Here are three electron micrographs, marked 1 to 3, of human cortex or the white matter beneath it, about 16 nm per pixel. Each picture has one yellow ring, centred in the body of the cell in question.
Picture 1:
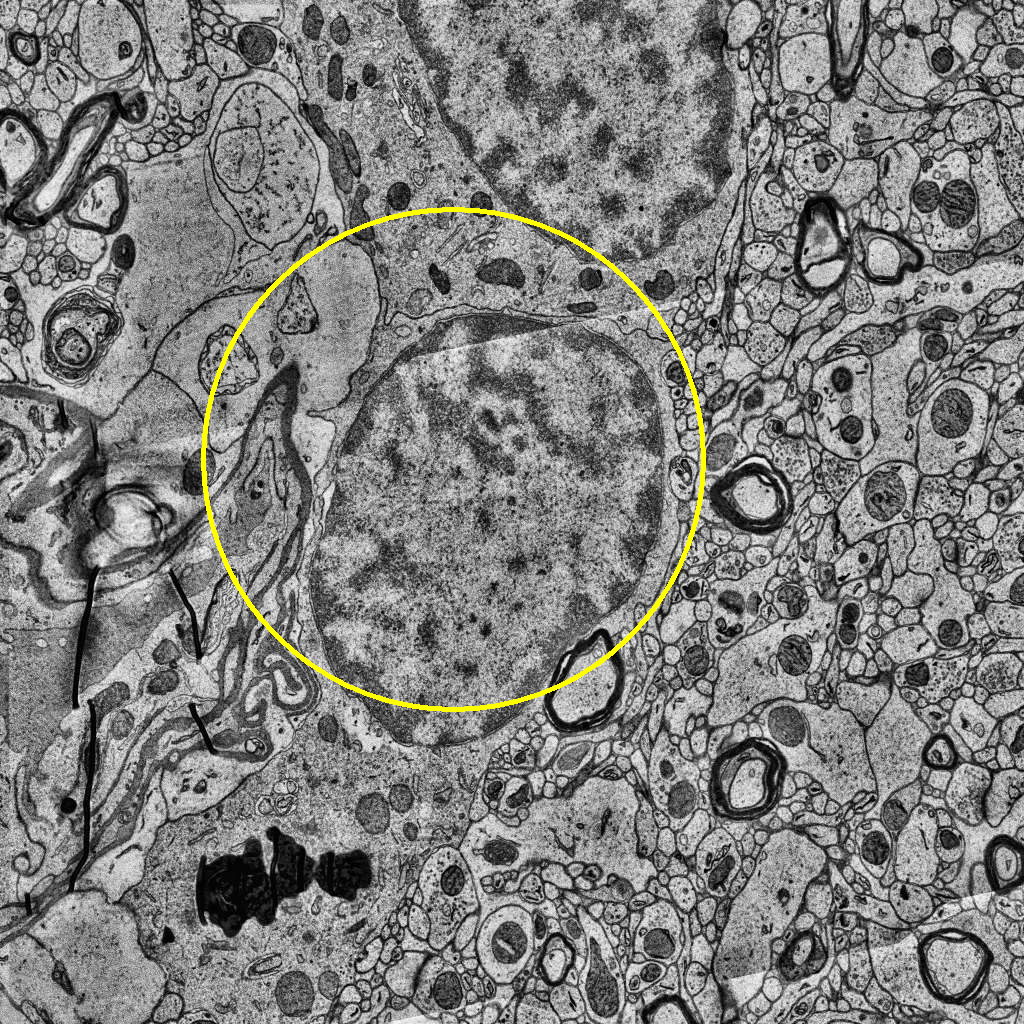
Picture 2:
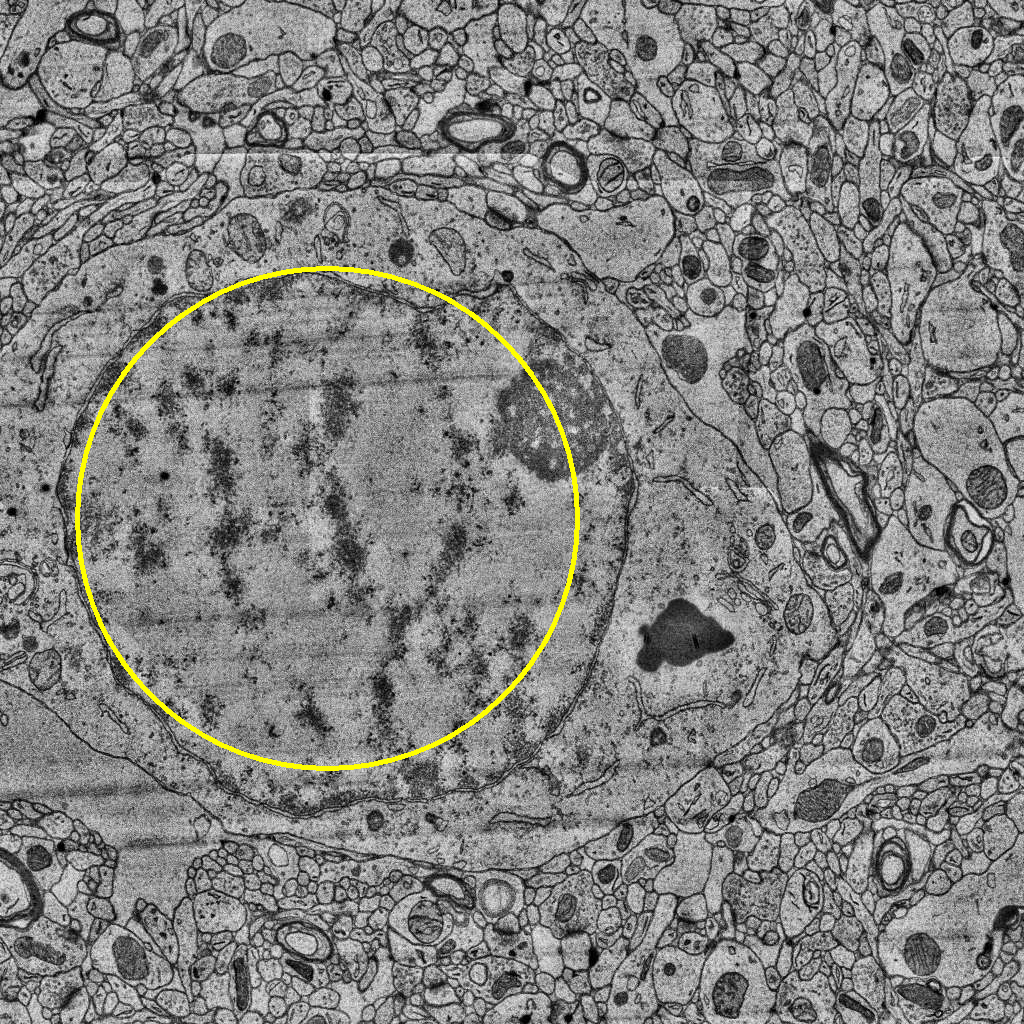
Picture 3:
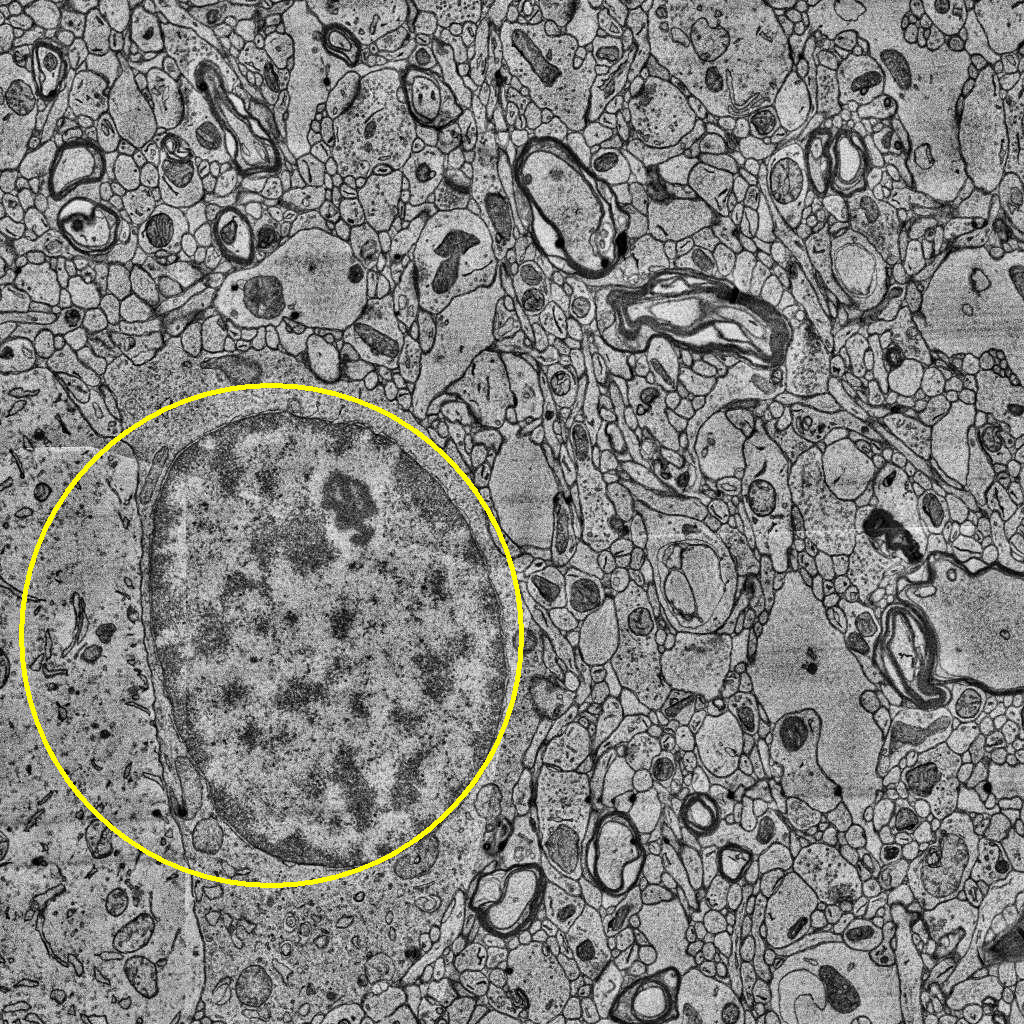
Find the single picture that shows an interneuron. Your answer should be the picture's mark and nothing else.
2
